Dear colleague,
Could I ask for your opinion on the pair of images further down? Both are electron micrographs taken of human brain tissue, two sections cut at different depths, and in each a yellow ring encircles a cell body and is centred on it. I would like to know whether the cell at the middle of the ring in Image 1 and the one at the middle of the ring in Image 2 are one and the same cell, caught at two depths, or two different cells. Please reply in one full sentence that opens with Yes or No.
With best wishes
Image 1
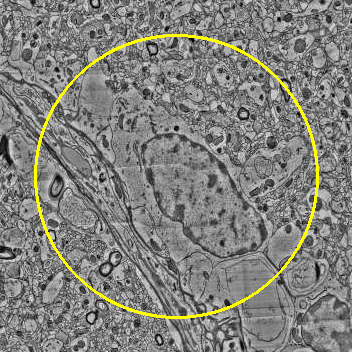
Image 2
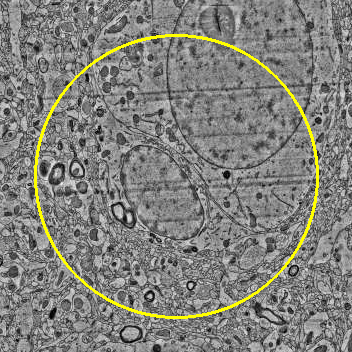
No, each yellow ring marks its own cell.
